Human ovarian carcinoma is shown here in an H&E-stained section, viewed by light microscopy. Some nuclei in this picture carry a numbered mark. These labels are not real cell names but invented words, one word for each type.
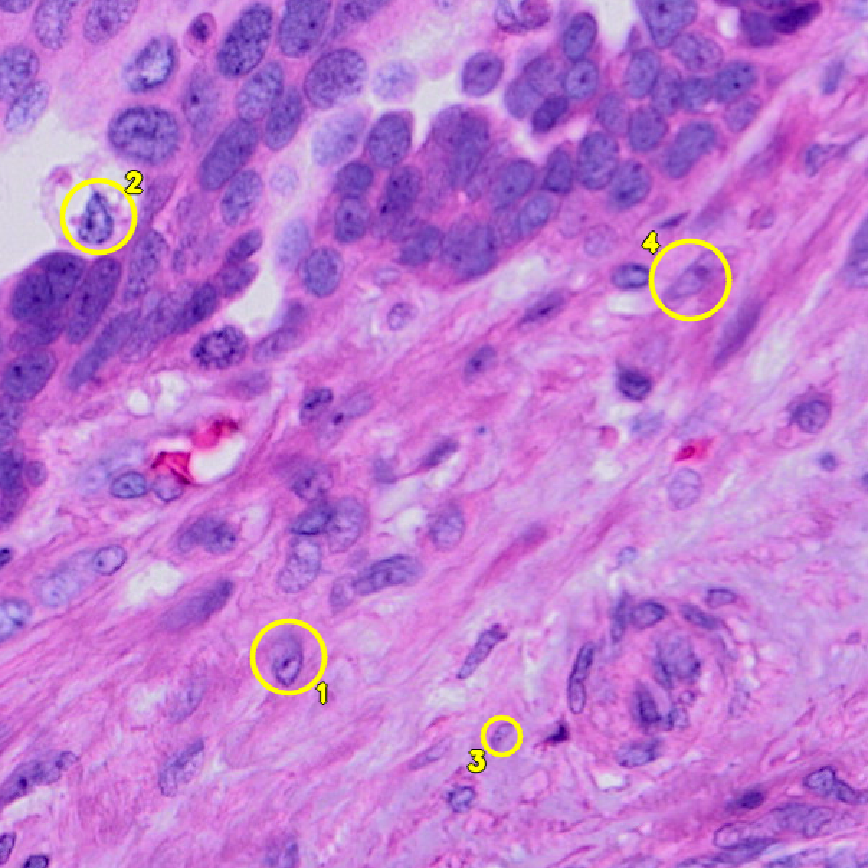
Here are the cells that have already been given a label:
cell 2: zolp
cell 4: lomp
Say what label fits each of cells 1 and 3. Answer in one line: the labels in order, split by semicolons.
lomp; lomp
